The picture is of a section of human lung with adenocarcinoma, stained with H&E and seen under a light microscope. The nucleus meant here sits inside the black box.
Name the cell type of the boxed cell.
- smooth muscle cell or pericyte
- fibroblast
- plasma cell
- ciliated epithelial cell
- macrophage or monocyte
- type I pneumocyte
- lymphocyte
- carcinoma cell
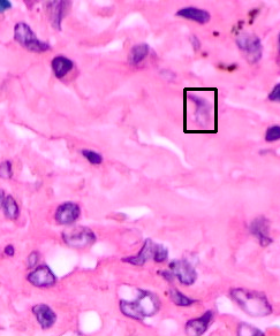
fibroblast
